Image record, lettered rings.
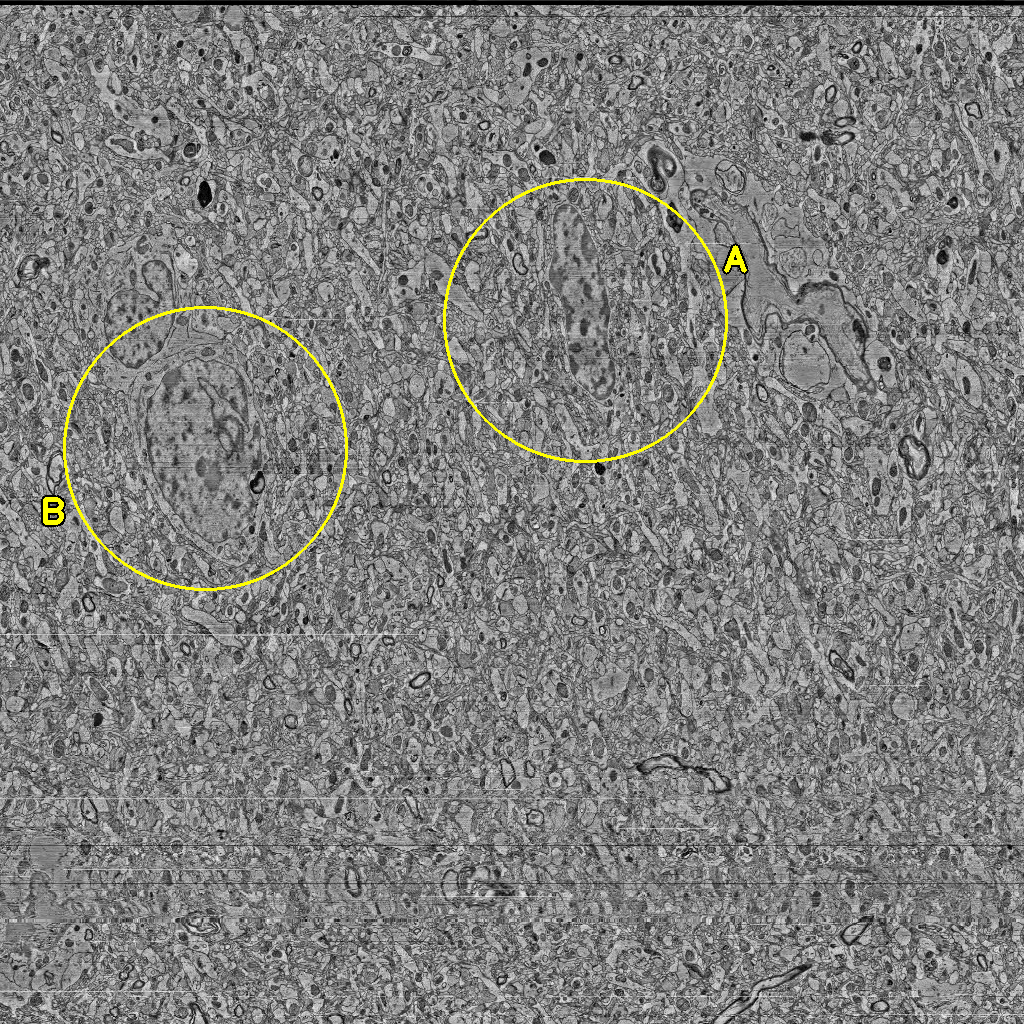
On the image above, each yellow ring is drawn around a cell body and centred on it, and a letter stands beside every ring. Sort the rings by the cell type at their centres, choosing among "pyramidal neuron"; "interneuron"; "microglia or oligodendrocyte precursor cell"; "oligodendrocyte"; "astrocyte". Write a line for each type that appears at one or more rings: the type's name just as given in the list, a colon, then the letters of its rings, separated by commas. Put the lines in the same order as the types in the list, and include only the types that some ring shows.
interneuron: B
microglia or oligodendrocyte precursor cell: A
